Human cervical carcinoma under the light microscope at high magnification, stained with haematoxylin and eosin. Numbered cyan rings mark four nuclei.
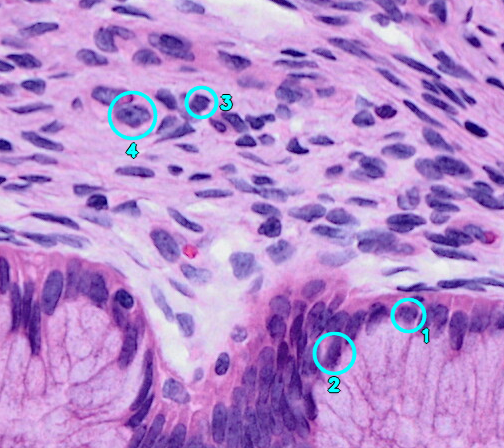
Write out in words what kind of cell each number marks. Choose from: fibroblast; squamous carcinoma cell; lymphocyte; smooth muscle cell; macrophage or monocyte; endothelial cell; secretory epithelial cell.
Cell 1 is a secretory epithelial cell, cell 2 is a secretory epithelial cell, cell 3 is a fibroblast and cell 4 is an endothelial cell.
